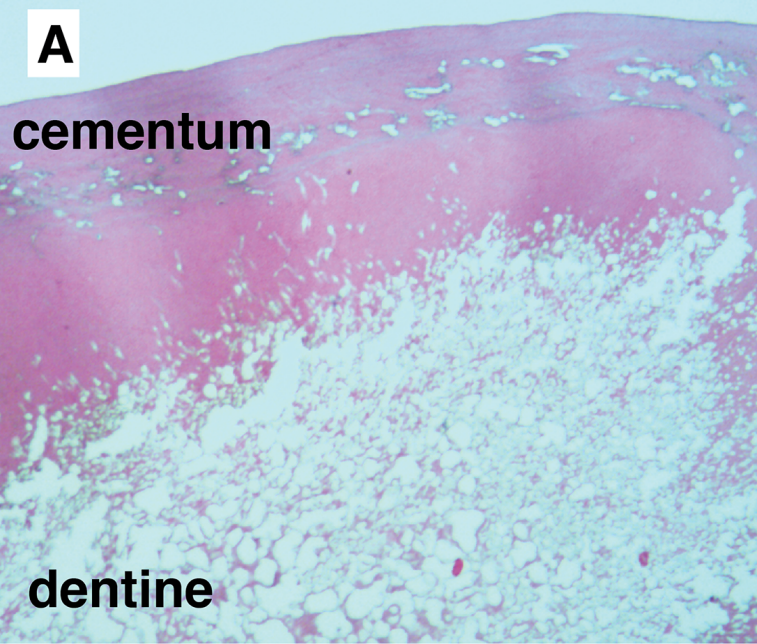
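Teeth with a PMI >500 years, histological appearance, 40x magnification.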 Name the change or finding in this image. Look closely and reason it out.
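The lower part of the section is broken up into many clear, empty spaces with only thin pink strands between them. The pink-stained tissue is largely lost in the lower region while the upper layer stays solid. On this evidence: Marked structural breakdown.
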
